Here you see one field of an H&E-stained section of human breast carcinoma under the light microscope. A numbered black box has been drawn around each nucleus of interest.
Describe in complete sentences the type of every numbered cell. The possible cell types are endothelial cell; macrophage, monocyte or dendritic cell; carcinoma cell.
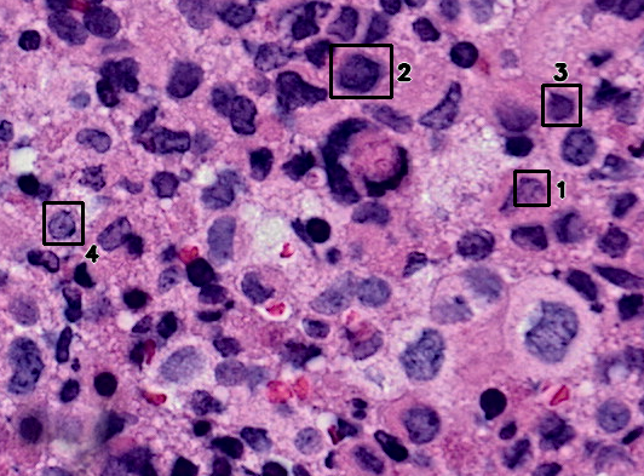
Cell 1 is a carcinoma cell, cell 2 is a carcinoma cell, cell 3 is a carcinoma cell and cell 4 is a macrophage, monocyte or dendritic cell.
